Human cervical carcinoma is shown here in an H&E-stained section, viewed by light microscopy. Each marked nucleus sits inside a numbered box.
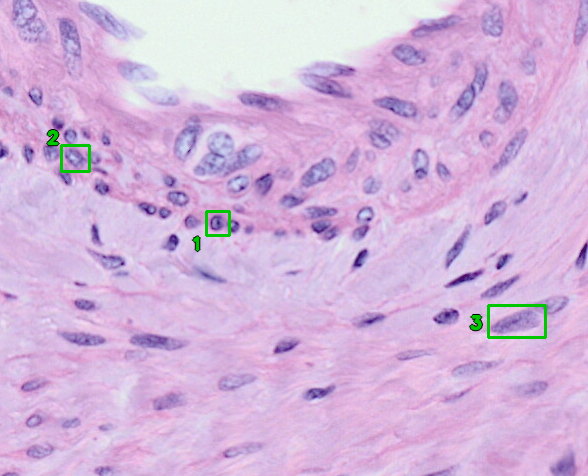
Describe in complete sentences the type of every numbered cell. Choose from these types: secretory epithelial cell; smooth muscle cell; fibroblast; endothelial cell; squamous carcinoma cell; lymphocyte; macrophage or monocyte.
Cell 1 is a smooth muscle cell, cell 2 is a smooth muscle cell and cell 3 is a fibroblast.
